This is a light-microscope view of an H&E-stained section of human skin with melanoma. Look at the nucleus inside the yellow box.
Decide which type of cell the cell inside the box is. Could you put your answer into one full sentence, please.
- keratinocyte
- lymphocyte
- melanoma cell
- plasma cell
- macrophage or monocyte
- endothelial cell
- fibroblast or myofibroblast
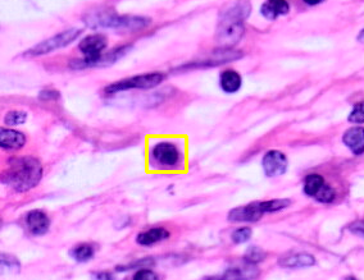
Microscopically, the cell inside the box is categorized as a plasma cell.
